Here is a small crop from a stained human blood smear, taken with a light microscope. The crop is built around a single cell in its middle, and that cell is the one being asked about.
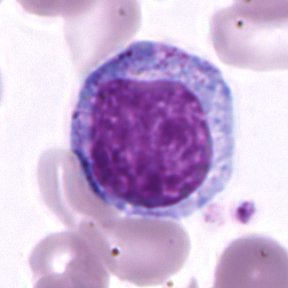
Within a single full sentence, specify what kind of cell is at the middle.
For this crop, the cell in the middle is a promyelocyte.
